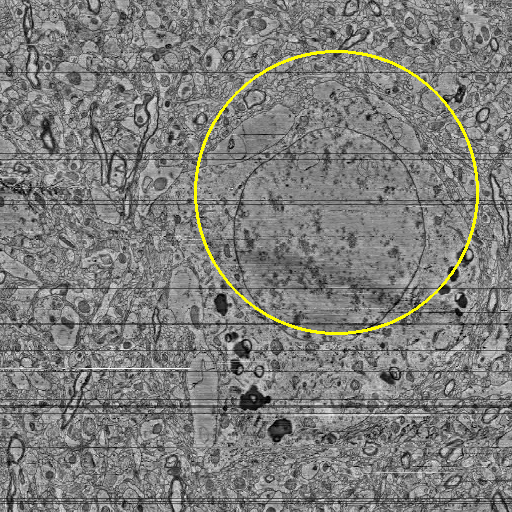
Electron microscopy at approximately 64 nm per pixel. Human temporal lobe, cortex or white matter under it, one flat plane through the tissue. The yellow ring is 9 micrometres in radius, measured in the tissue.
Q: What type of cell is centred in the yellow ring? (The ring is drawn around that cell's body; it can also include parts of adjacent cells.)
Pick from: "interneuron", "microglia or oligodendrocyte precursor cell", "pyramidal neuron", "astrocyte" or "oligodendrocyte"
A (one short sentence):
The yellow ring is centred on a pyramidal neuron.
